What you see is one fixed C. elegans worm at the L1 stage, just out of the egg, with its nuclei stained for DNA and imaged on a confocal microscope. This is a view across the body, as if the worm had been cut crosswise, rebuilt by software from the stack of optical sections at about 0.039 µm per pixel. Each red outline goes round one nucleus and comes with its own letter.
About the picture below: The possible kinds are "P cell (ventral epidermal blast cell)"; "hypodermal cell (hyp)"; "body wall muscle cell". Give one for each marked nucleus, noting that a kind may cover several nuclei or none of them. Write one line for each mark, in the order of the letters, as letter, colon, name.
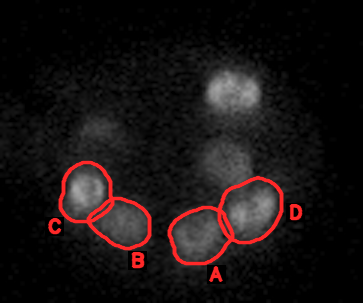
A: P cell (ventral epidermal blast cell)
B: hypodermal cell (hyp)
C: body wall muscle cell
D: body wall muscle cell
